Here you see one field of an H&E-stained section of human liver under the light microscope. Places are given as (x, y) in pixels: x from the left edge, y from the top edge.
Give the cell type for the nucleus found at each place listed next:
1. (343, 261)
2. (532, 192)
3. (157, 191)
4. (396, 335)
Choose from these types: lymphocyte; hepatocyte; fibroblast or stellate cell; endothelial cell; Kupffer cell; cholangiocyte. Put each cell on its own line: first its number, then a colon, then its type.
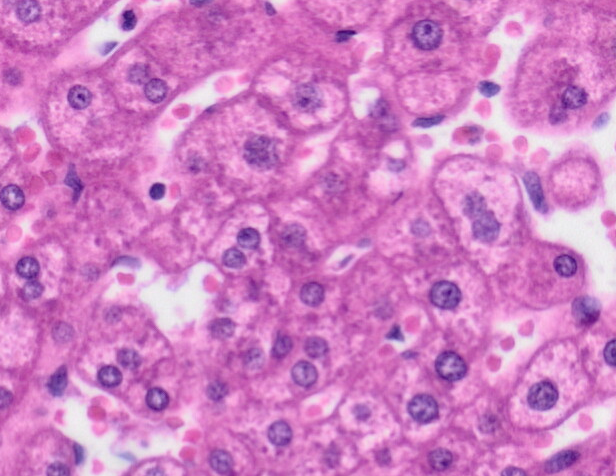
1: Kupffer cell
2: Kupffer cell
3: lymphocyte
4: endothelial cell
